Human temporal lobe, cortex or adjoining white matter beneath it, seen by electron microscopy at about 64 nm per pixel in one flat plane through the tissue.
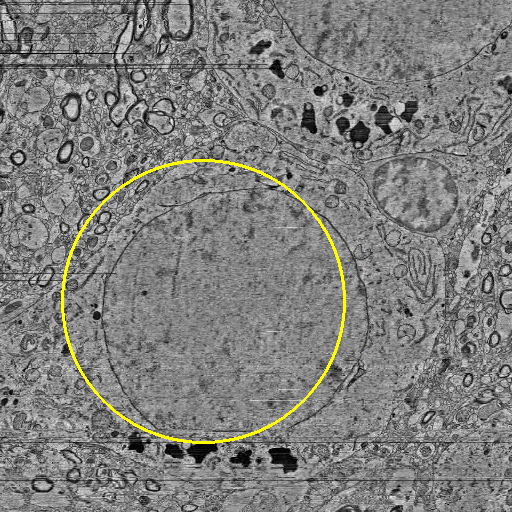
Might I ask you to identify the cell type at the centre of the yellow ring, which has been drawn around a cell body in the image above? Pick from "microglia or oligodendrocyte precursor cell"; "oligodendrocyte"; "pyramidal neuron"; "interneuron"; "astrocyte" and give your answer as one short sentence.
The centre of the ring falls on a pyramidal neuron.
